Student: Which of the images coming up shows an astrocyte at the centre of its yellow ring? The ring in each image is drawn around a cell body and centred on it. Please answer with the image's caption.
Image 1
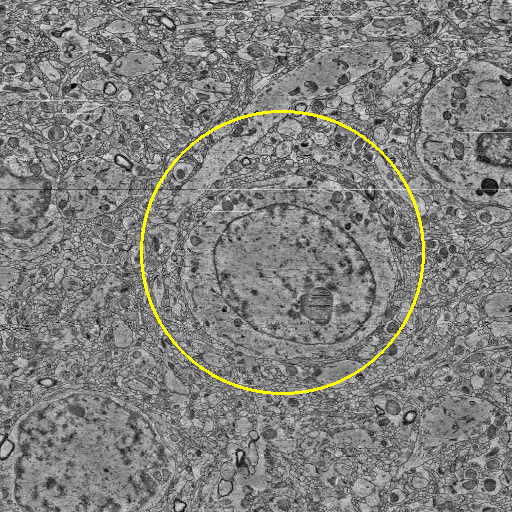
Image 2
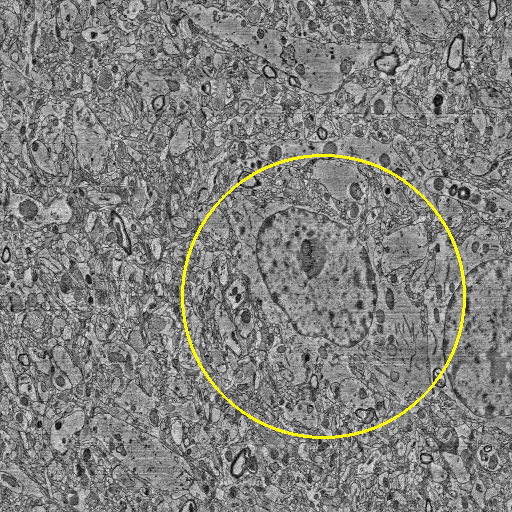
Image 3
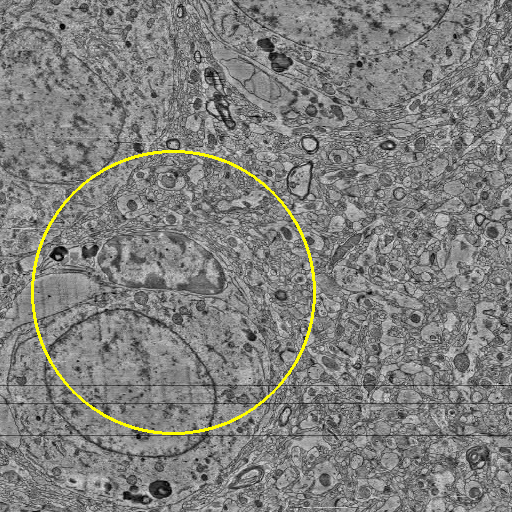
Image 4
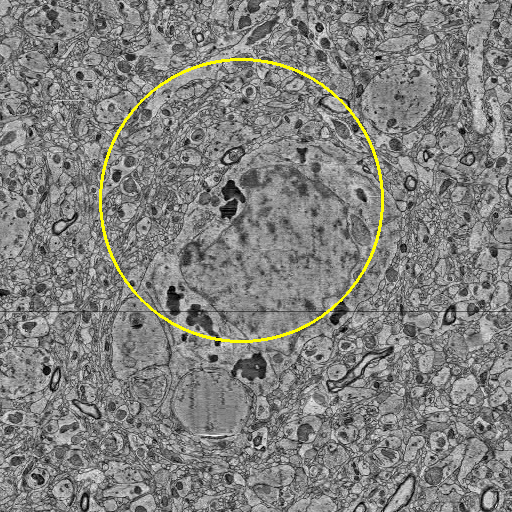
Image 2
